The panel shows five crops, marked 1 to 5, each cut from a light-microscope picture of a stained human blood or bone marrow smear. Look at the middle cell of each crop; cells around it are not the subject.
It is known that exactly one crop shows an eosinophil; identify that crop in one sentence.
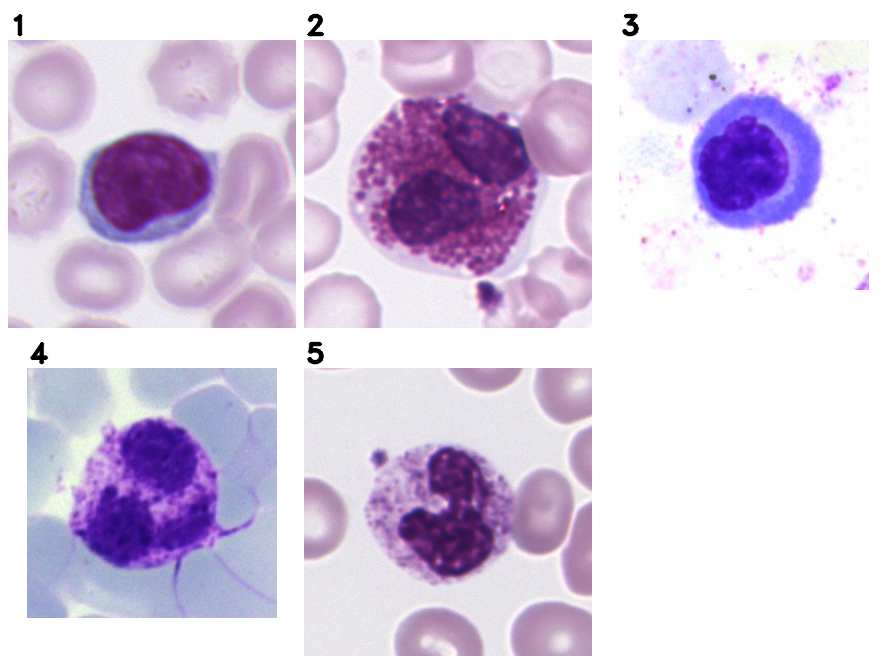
The crop that shows an eosinophil is crop 2.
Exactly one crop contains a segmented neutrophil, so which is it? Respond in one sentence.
It is crop 5 that shows a segmented neutrophil.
